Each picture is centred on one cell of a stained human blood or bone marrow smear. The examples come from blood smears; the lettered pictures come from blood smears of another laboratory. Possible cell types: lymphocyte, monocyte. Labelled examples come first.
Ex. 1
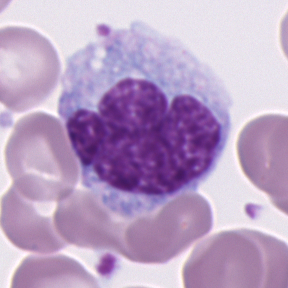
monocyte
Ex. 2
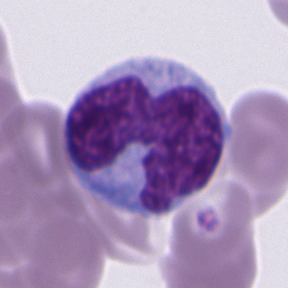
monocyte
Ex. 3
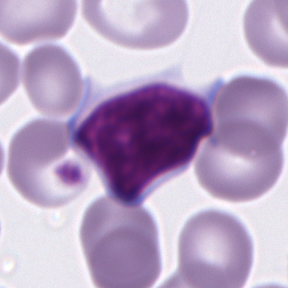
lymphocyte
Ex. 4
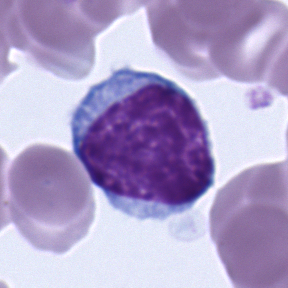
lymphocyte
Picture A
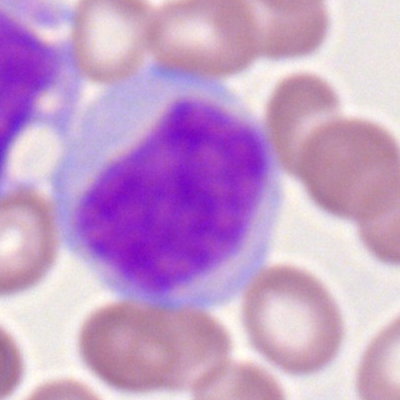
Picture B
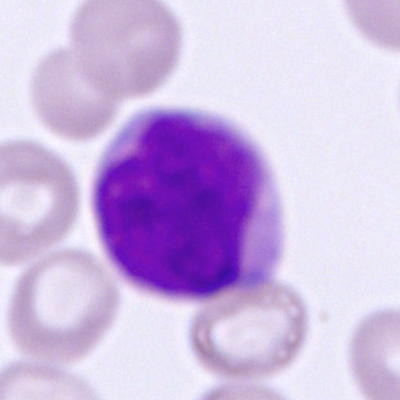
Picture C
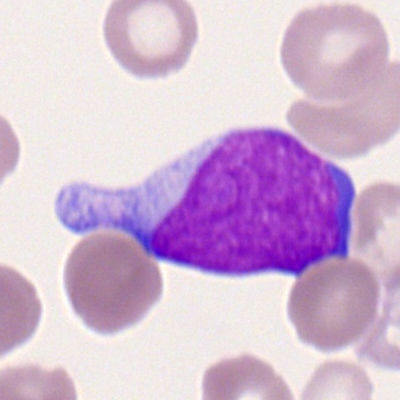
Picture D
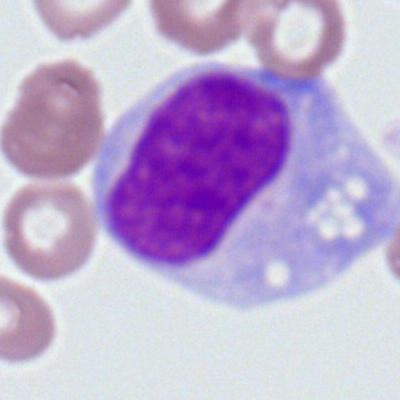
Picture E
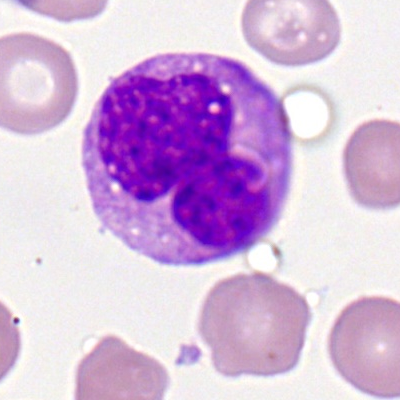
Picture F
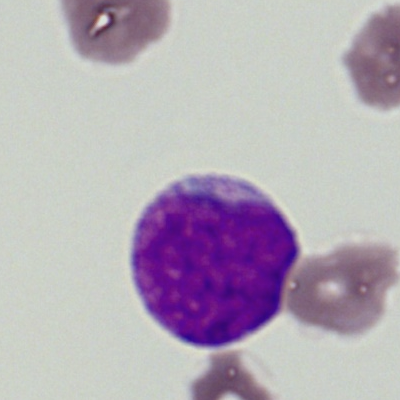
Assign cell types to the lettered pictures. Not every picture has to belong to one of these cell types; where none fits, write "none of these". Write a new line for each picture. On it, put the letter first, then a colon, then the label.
A: monocyte
B: none of these
C: none of these
D: monocyte
E: monocyte
F: none of these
